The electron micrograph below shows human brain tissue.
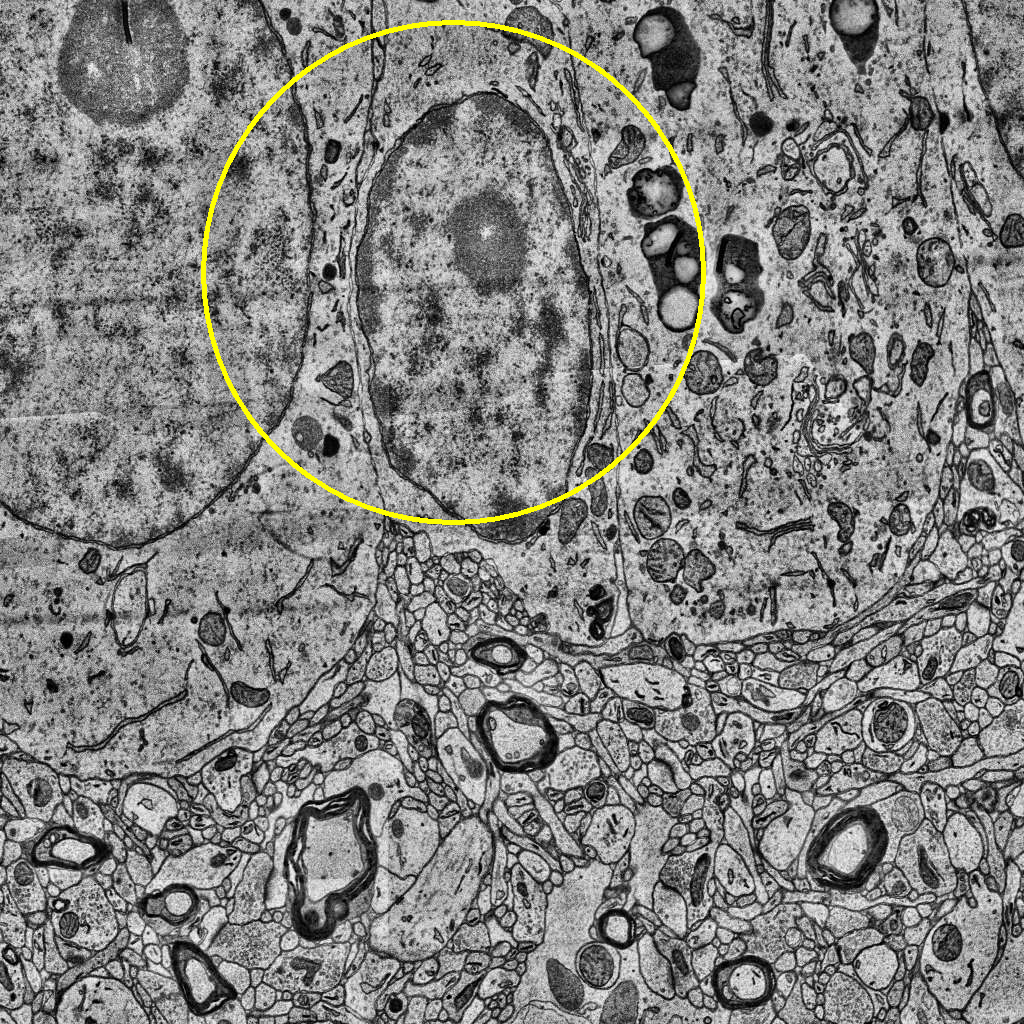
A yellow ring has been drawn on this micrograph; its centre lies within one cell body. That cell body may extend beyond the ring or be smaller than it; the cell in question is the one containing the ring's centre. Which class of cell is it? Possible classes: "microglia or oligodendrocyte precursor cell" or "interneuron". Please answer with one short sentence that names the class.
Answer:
In the centre of the ring sits a microglial cell or oligodendrocyte precursor cell.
